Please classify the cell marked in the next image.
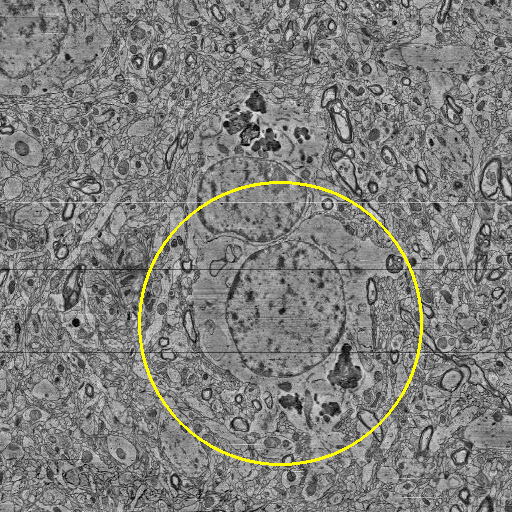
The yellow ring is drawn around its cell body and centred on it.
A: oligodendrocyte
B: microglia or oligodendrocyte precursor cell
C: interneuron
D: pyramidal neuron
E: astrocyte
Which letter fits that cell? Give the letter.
E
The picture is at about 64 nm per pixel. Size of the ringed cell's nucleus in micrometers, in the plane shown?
The nucleus appears roughly 9 by 8 micrometres in this plane.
